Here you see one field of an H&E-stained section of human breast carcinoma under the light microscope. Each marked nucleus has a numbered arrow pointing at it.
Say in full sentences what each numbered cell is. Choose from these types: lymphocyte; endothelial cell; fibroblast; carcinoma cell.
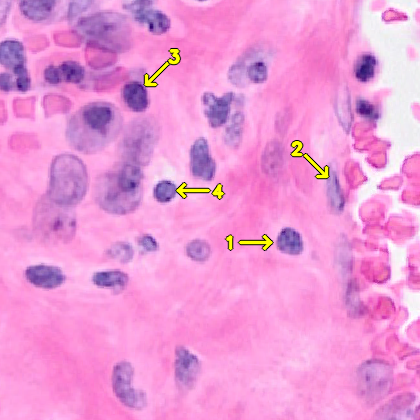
Cells 1, 3 and 4 are lymphocytes. Cell 2 is an endothelial cell.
